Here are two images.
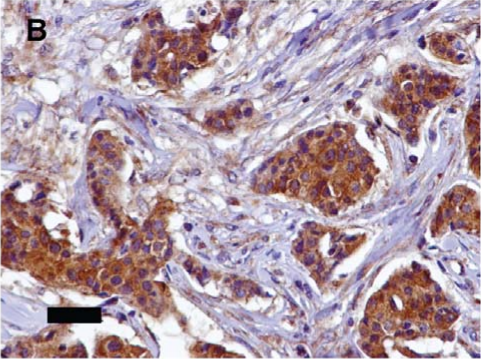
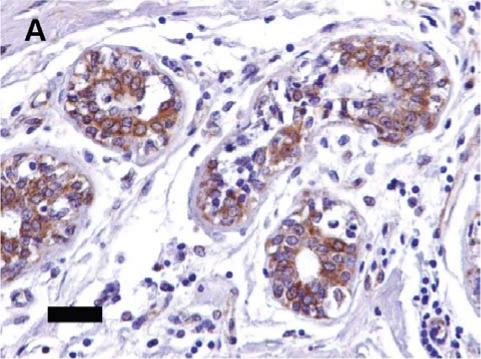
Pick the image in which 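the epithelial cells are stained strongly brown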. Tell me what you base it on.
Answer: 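The first image. First image: nests of epithelial cells with dense, deep brown cytoplasm. Second image: gland cells with lighter, moderate brown cytoplasm.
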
